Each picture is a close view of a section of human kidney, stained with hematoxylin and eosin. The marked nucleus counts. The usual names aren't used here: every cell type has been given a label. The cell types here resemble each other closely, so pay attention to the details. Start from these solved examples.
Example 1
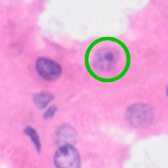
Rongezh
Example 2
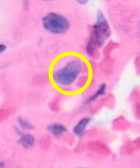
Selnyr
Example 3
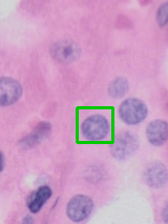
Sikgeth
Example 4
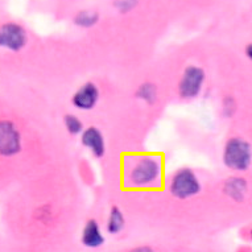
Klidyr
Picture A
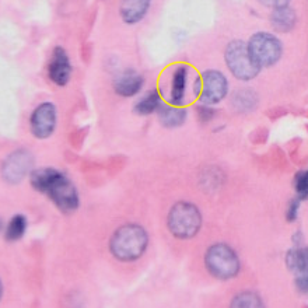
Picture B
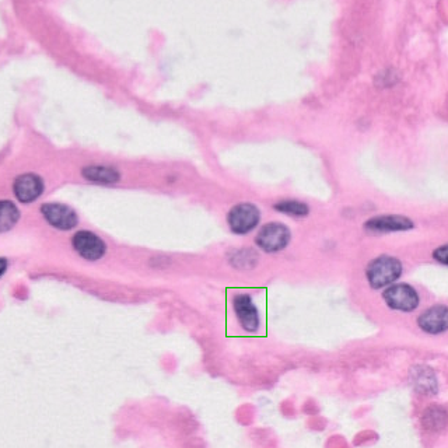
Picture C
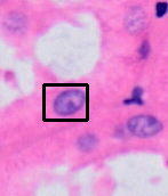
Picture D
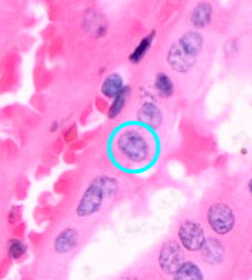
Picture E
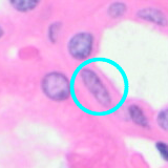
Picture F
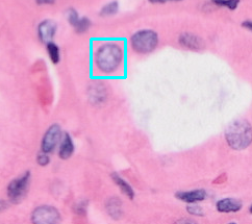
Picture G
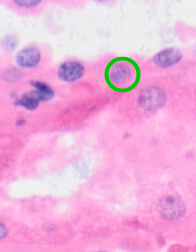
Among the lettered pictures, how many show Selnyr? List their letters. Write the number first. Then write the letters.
1, namely B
